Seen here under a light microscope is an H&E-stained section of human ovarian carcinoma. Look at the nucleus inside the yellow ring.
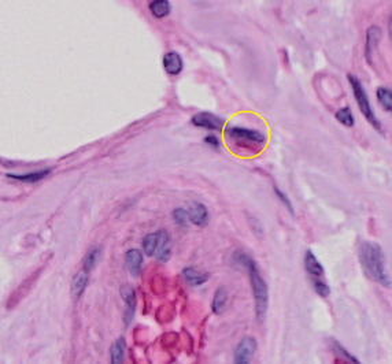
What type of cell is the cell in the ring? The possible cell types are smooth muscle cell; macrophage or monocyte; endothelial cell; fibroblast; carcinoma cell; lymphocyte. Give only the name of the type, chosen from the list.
endothelial cell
